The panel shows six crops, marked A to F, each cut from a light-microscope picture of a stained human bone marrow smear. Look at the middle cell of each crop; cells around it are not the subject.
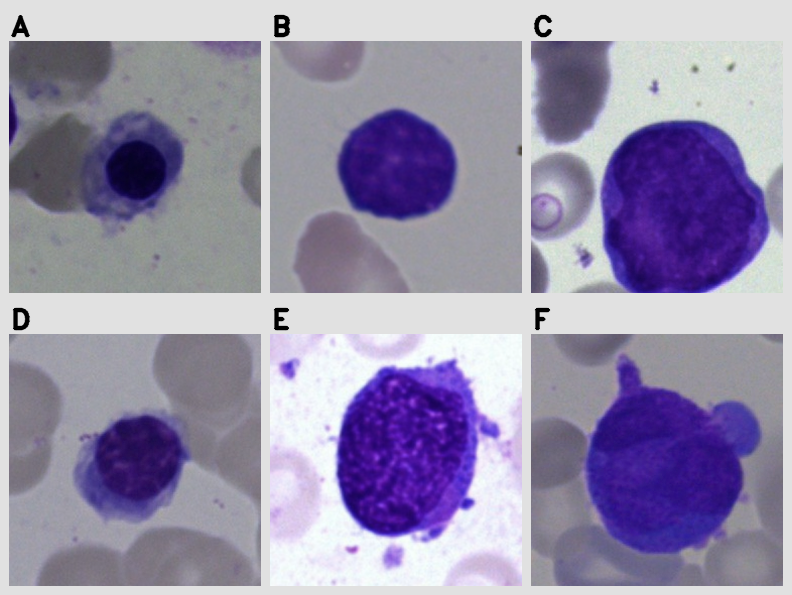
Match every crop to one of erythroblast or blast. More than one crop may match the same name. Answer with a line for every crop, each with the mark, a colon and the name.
A: erythroblast
B: blast
C: blast
D: erythroblast
E: blast
F: blast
